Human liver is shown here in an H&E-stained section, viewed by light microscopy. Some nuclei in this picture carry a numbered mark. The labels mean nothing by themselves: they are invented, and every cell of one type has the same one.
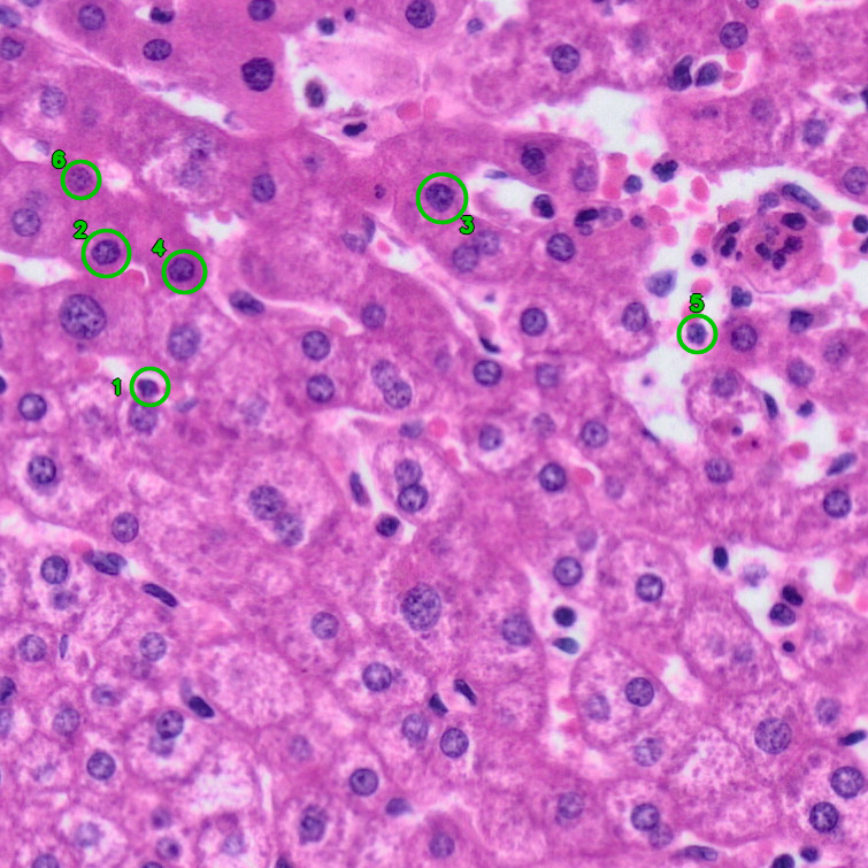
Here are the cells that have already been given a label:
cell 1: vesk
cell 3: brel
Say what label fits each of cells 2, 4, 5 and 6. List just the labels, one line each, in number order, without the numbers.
brel
brel
vesk
brel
